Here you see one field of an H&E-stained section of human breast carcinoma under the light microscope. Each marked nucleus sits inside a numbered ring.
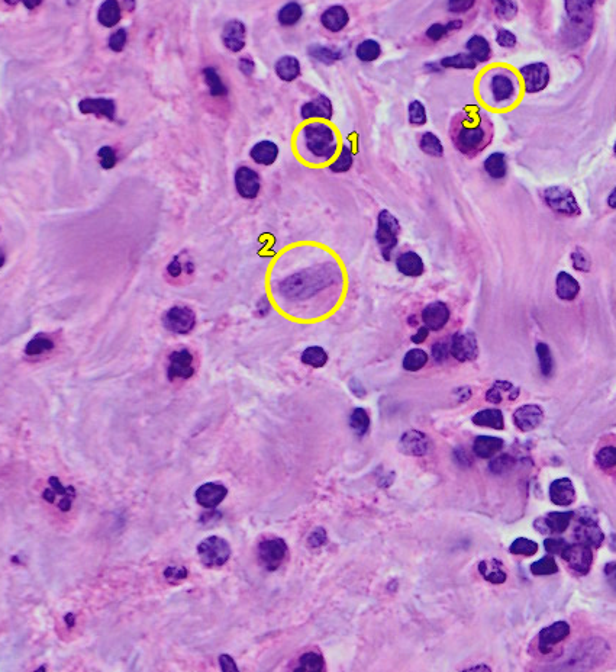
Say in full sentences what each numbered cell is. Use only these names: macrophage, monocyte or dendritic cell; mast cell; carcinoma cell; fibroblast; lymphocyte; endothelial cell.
Cells 1 and 3 are lymphocytes. Cell 2 is a fibroblast.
